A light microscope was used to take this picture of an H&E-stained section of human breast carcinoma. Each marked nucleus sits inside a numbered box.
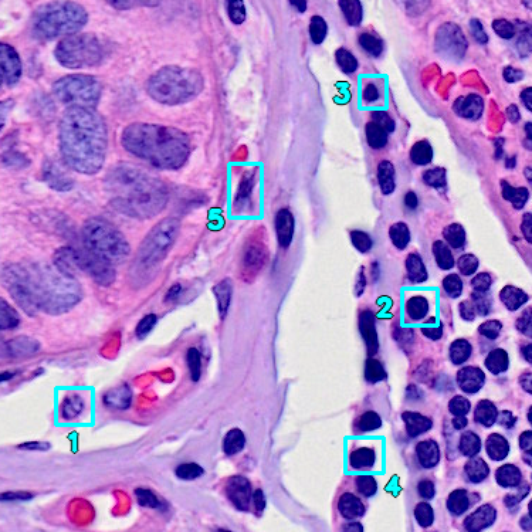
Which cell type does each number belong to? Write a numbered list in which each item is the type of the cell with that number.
1. mast cell
2. lymphocyte
3. lymphocyte
4. lymphocyte
5. endothelial cell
